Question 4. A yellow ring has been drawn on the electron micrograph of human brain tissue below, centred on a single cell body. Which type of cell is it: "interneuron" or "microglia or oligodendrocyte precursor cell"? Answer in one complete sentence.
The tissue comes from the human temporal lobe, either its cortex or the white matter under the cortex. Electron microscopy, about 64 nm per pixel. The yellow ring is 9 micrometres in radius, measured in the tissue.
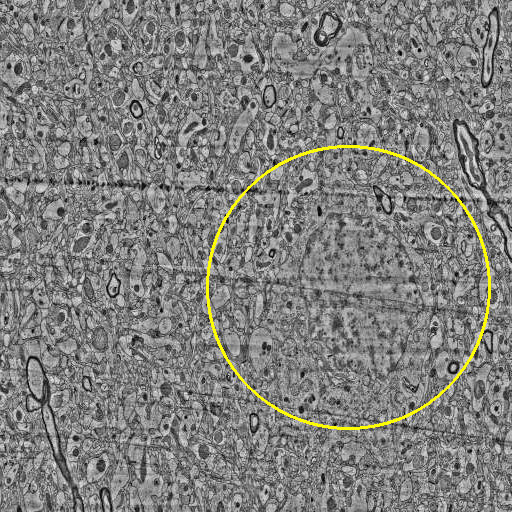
This cell body belongs to an interneuron.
